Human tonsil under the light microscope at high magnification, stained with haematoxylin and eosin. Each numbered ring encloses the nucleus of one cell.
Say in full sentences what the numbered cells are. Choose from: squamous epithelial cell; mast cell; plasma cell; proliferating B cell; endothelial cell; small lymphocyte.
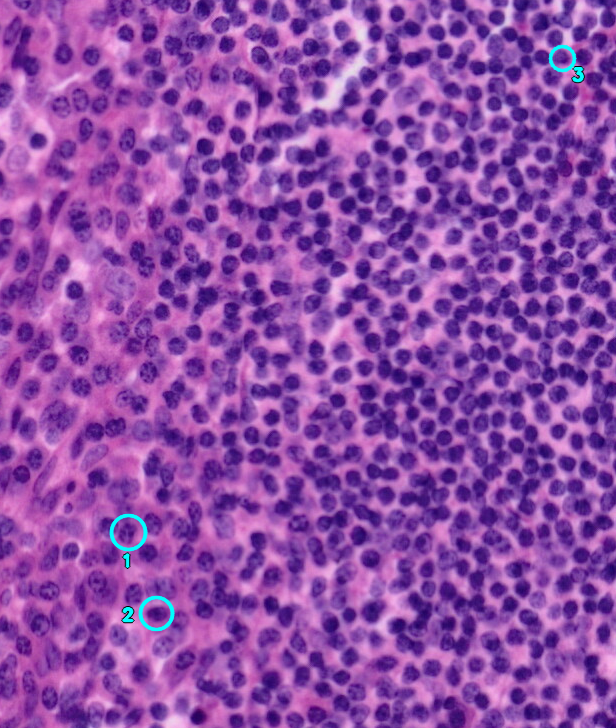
Cell 1 is a plasma cell, cell 2 is a plasma cell and cell 3 is a small lymphocyte.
